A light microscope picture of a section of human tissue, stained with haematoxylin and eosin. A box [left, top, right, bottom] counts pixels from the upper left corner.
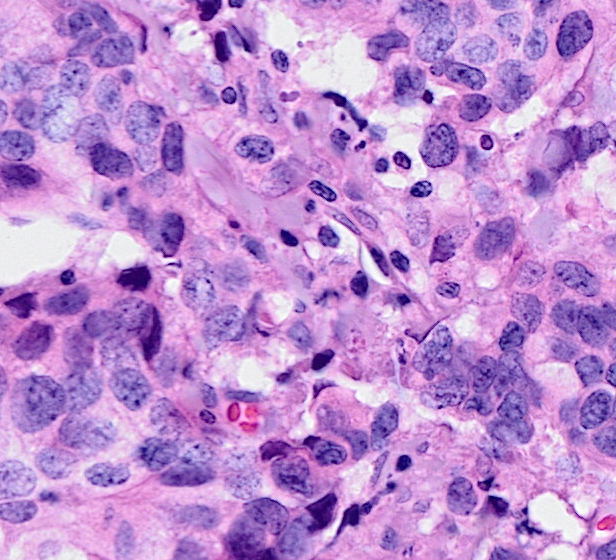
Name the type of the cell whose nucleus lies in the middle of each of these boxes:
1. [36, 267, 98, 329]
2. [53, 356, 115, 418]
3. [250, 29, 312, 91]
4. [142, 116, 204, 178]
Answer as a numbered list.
1. carcinoma cell
2. carcinoma cell
3. lymphocyte
4. carcinoma cell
